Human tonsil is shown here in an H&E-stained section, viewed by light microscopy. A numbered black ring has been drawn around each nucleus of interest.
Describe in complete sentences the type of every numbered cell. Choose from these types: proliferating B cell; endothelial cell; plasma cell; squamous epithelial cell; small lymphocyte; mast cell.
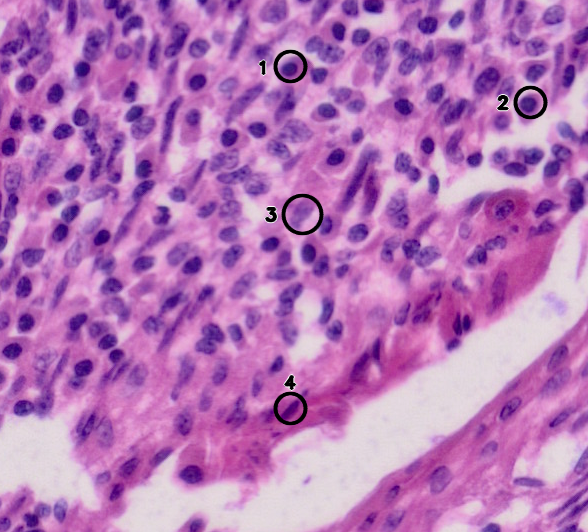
Cells 1 and 2 are plasma cells. Cells 3 and 4 are squamous epithelial cells.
